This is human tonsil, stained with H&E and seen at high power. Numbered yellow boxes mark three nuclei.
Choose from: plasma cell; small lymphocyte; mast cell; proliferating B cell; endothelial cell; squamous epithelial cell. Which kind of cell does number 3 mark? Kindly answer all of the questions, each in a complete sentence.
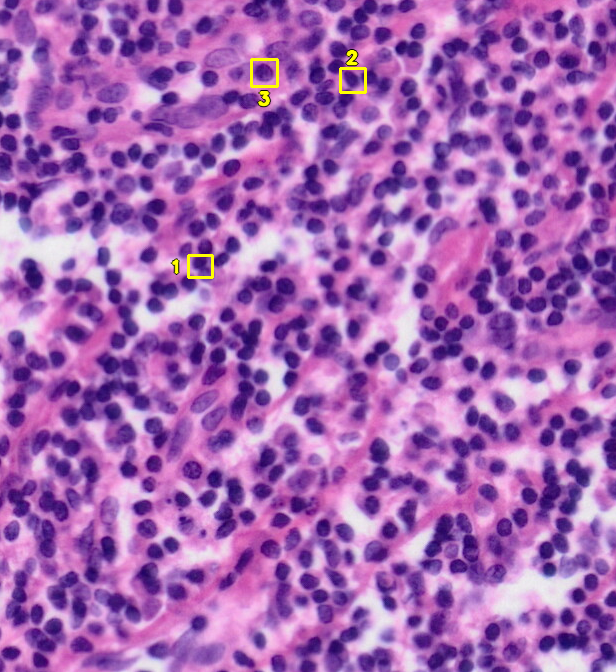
The cell that bears the number 3 is an endothelial cell.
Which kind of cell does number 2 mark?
The numbered cell 2 is identified here as a small lymphocyte.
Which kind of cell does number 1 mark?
The cell whose nucleus carries the number 1 is a small lymphocyte.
